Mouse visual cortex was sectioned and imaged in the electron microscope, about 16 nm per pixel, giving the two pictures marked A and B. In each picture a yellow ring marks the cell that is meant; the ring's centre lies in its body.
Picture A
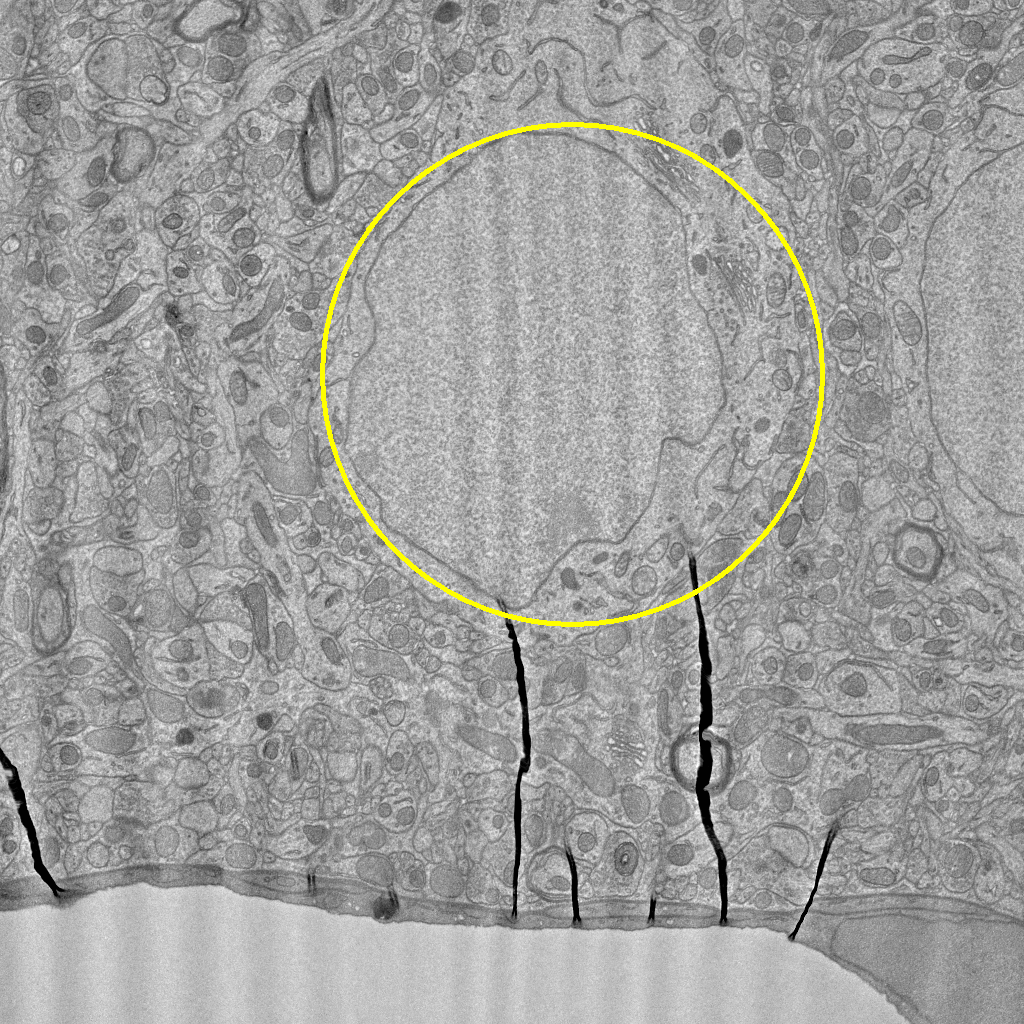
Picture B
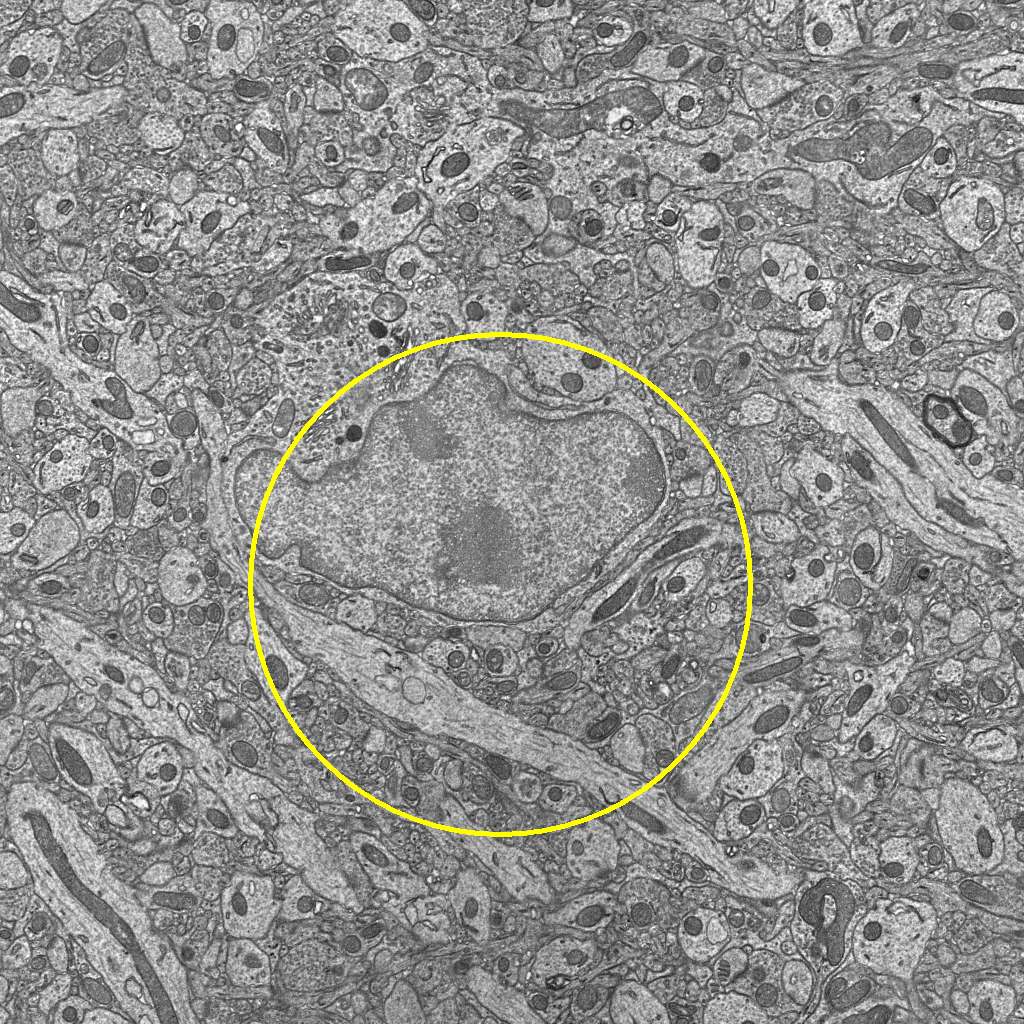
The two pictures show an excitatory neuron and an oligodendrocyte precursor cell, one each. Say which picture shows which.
Picture A is of an excitatory neuron, and picture B is of an oligodendrocyte precursor cell.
